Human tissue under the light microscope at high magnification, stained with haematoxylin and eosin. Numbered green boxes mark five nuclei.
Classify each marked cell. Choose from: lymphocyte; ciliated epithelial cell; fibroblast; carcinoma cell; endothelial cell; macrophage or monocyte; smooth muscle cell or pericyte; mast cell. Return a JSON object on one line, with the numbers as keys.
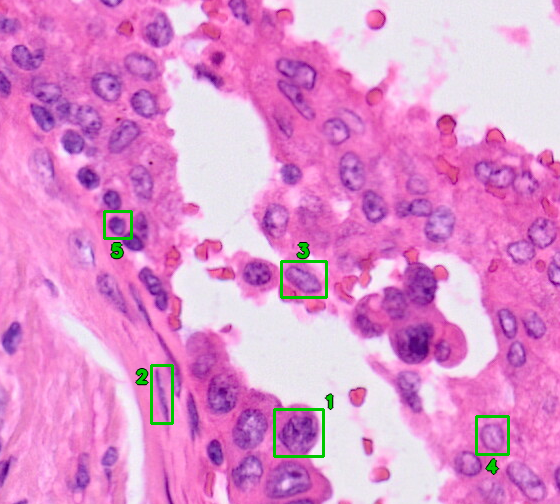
{"1": "carcinoma cell", "2": "fibroblast", "3": "macrophage or monocyte", "4": "macrophage or monocyte", "5": "lymphocyte"}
